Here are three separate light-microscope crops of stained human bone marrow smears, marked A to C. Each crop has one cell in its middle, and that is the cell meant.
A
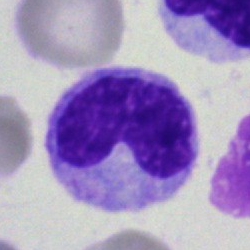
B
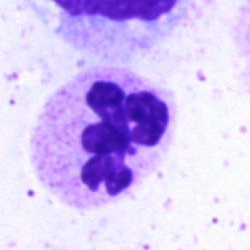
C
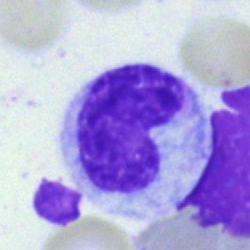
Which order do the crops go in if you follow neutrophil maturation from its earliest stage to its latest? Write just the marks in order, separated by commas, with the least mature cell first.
A, C, B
